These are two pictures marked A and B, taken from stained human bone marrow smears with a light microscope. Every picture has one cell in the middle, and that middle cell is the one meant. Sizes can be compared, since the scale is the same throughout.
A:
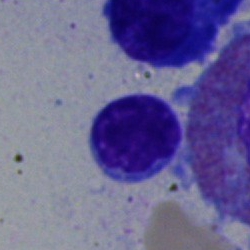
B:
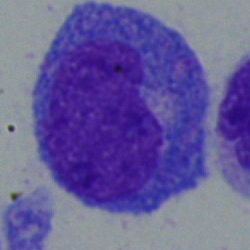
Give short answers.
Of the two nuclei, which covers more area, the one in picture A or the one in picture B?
B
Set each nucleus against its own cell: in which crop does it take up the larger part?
A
